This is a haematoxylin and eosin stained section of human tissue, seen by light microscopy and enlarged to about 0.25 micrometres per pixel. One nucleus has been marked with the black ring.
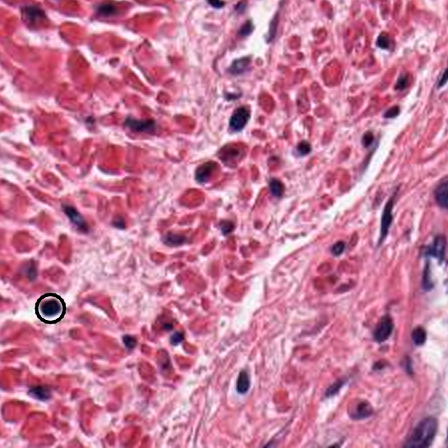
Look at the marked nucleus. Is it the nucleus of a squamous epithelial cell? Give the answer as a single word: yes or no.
no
